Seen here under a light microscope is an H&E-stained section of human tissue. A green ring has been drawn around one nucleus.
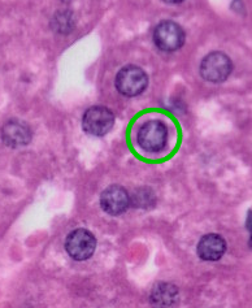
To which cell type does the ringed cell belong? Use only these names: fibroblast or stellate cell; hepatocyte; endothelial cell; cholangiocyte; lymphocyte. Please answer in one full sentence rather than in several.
In cell-type terms, the ringed cell is a hepatocyte.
